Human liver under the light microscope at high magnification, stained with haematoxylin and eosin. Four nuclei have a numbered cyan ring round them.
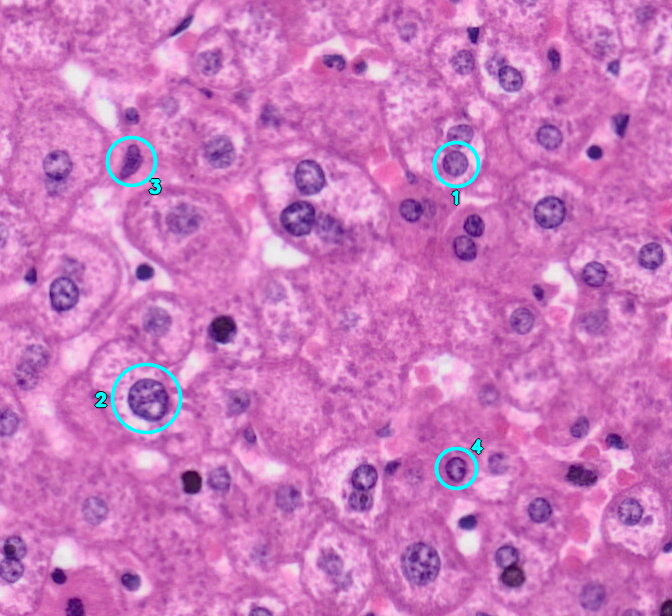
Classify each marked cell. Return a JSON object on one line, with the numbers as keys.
{"1": "hepatocyte", "2": "hepatocyte", "3": "Kupffer cell", "4": "hepatocyte"}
